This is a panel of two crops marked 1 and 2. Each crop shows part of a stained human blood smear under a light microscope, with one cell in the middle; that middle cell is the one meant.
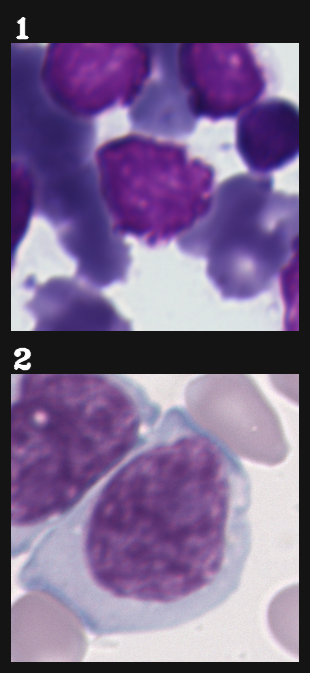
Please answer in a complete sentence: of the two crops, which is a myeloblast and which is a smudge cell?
Crop 1 contains a smudge cell, and crop 2, a myeloblast.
